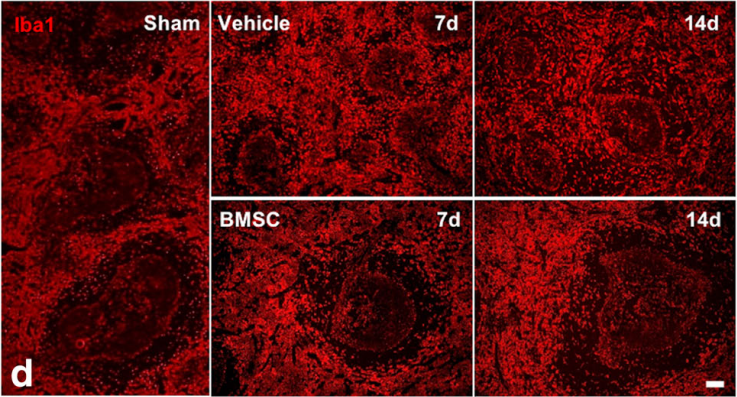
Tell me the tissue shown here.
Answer: Spleen.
